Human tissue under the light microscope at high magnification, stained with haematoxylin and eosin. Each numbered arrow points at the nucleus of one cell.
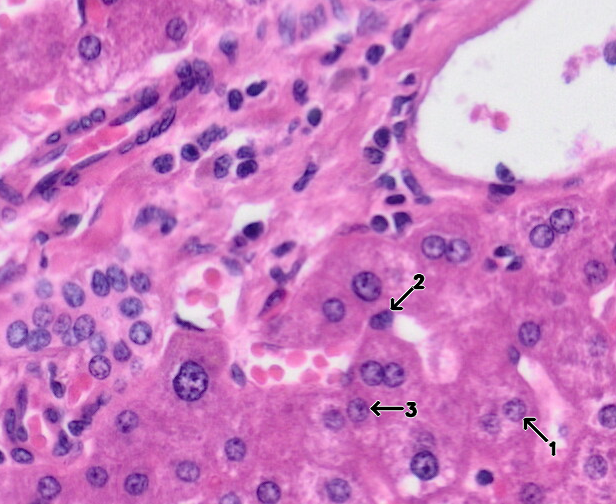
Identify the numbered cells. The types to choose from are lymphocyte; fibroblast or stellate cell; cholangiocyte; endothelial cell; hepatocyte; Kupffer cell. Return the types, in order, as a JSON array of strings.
["hepatocyte", "fibroblast or stellate cell", "hepatocyte"]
